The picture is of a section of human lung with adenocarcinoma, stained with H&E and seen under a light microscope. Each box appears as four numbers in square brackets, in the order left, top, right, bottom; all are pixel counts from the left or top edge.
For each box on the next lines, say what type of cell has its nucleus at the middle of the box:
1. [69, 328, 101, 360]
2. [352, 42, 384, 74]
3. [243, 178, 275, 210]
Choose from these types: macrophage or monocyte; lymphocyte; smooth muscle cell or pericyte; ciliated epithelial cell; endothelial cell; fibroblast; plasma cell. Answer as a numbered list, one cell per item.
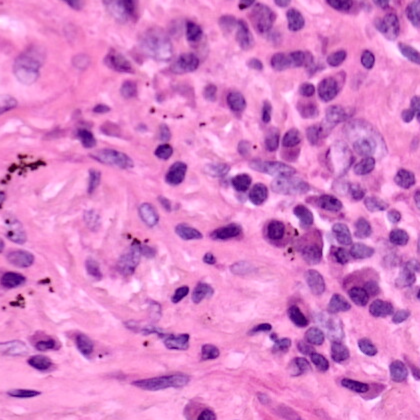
1. plasma cell
2. lymphocyte
3. lymphocyte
